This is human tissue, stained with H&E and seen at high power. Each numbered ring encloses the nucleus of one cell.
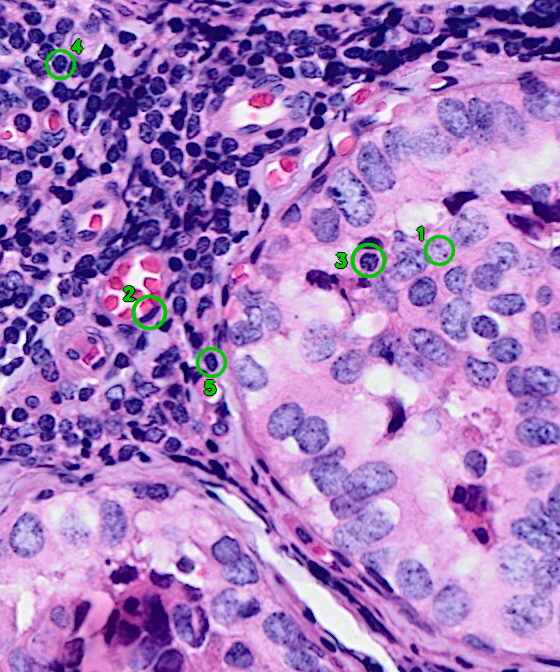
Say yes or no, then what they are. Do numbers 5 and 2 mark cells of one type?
No, the cell marked 5 is a lymphocyte, and the cell marked 2 is an endothelial cell.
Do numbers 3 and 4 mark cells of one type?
Yes, the cell marked 3 and the cell marked 4 are both lymphocytes.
